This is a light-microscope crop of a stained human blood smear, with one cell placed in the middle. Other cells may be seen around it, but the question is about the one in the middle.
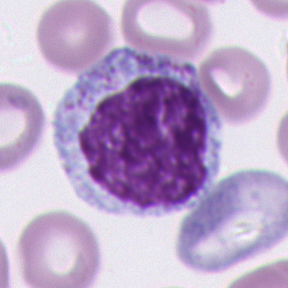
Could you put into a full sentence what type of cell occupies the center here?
Positioned in the middle of the crop is a myelocyte.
